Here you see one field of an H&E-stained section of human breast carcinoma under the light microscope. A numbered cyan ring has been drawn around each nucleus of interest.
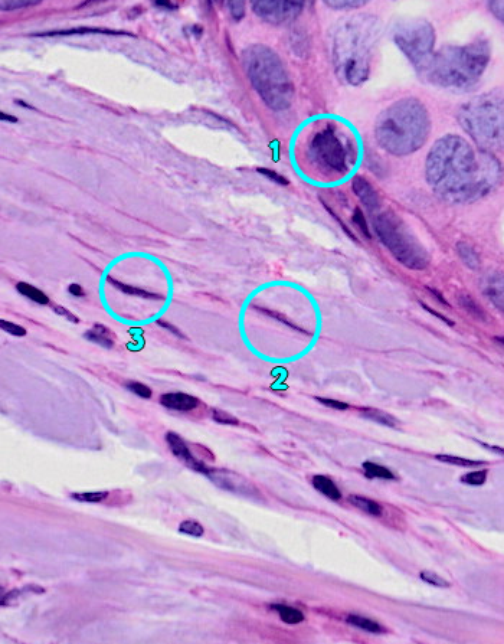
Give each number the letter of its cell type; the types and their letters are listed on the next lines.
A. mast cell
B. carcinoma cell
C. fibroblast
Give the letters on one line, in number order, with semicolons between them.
B; C; C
